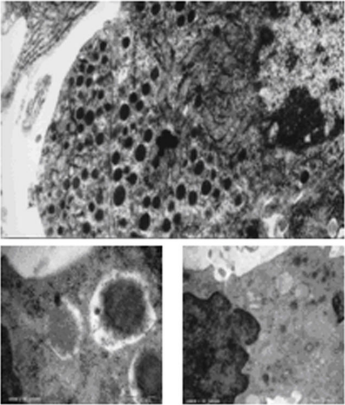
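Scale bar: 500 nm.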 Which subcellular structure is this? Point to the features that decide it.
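Secretary vesicles with a dense core and a peripheral, electron-lucent halo. Many small round dark granules crowd the cytoplasm in the upper image. A large round granule in the lower left image has a dark core surrounded by a pale rim.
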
